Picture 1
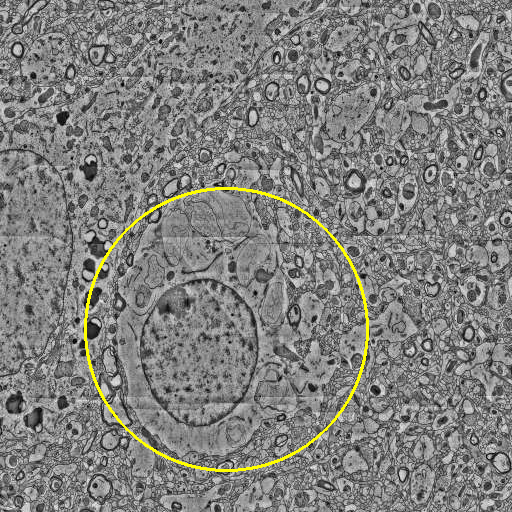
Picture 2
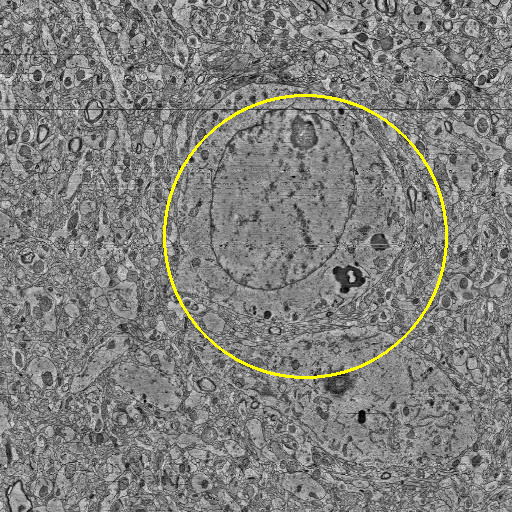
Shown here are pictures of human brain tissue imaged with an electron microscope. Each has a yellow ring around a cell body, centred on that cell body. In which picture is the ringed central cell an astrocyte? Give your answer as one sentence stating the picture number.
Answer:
My answer is picture 1, where the ringed cell at the centre is the one sought.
